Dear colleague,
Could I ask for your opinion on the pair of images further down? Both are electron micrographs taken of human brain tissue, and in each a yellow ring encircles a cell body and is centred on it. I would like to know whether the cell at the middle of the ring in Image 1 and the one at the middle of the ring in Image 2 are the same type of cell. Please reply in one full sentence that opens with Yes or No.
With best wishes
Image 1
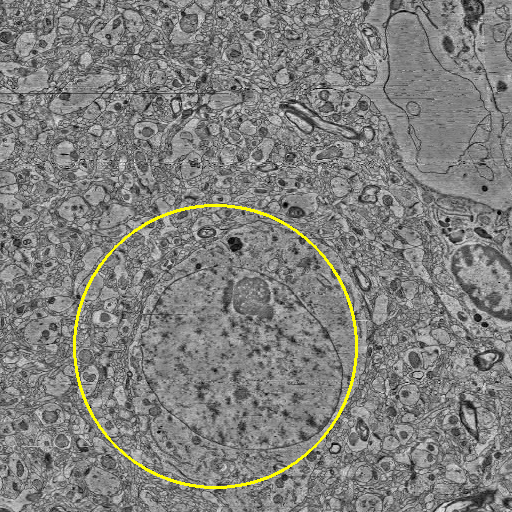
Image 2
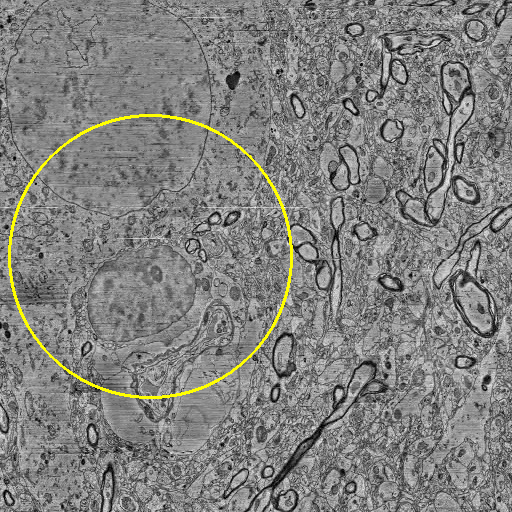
No, the cells at the ring centres in Image 1 and Image 2 are of two types.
